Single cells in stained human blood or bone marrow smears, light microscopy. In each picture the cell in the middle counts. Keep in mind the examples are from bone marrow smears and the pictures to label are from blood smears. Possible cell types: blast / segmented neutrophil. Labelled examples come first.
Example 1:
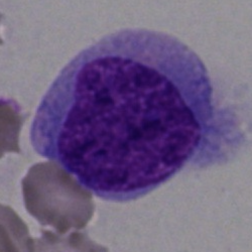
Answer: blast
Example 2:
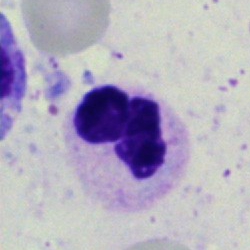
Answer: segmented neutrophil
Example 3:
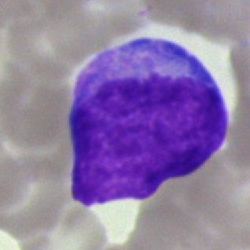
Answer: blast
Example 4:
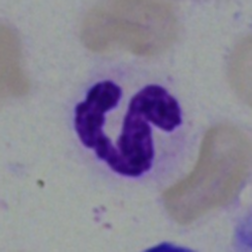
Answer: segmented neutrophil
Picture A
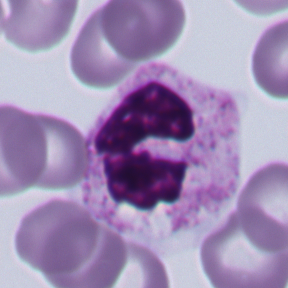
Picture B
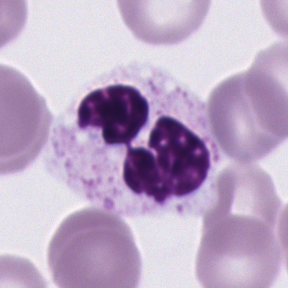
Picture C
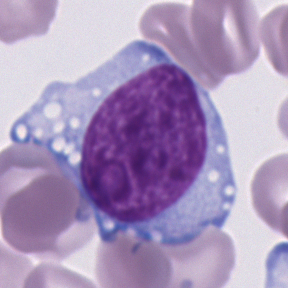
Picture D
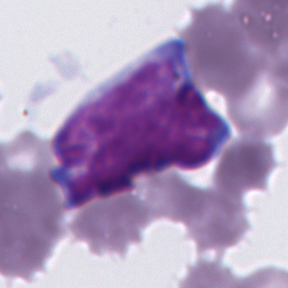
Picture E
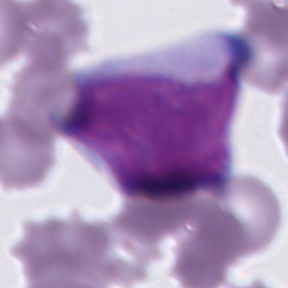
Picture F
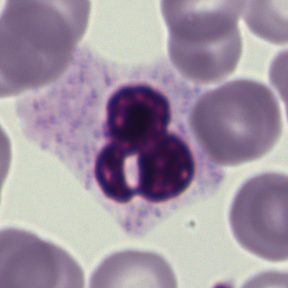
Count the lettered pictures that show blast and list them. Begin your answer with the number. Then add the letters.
Count: 3 (C, D, E)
